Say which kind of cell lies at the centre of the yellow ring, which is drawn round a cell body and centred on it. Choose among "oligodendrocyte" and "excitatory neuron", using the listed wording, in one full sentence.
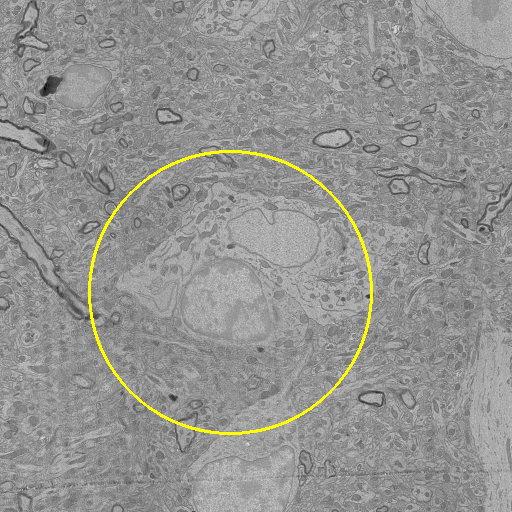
Going by the list, the cell at the yellow ring's centre is an oligodendrocyte.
